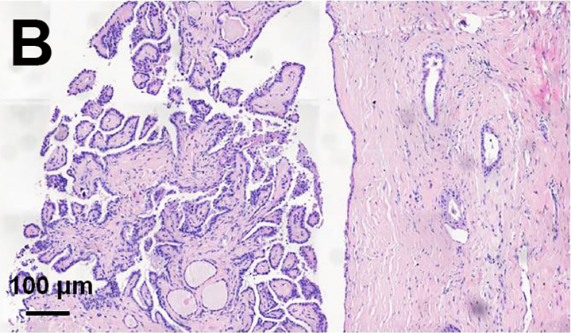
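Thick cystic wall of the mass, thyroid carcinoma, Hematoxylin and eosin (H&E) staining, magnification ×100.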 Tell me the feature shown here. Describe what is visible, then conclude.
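On the left, branching fronds with pink cores lined by epithelium project into open space. On the right lies a dense pink fibrous wall.
Hence: nipple-like bulges.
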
